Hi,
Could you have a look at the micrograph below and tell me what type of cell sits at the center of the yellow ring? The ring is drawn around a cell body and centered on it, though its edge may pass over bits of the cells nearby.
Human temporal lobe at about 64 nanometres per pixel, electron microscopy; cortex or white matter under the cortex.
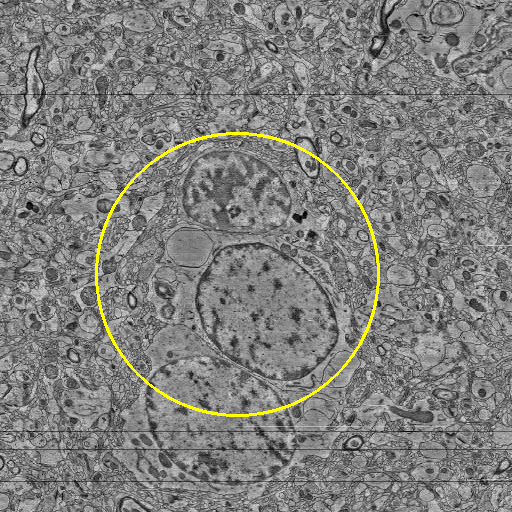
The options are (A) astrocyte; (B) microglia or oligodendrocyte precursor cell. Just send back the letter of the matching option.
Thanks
A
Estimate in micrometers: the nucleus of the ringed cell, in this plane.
In this plane, about 10 micrometres in length and 8 in width.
